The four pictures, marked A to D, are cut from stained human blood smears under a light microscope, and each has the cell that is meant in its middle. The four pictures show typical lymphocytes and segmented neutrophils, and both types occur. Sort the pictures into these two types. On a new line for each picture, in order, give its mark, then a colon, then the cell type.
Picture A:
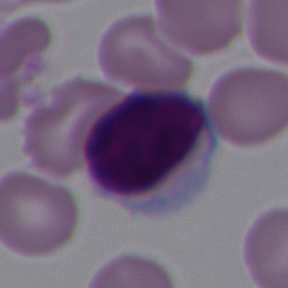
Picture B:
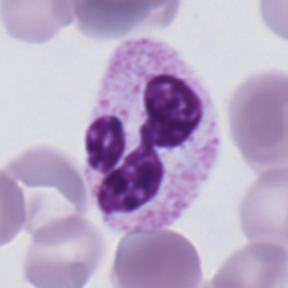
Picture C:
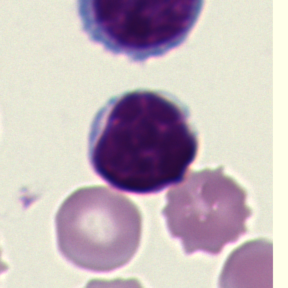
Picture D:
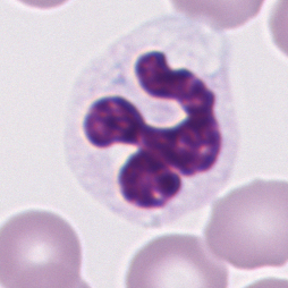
A: typical lymphocyte
B: segmented neutrophil
C: typical lymphocyte
D: segmented neutrophil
